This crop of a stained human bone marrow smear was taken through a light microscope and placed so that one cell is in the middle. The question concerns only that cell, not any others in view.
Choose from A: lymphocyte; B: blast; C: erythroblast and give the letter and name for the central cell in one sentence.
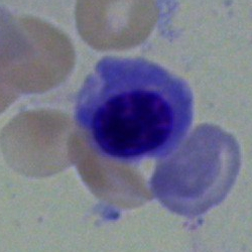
Answer key: option C, the middle cell being an erythroblast.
